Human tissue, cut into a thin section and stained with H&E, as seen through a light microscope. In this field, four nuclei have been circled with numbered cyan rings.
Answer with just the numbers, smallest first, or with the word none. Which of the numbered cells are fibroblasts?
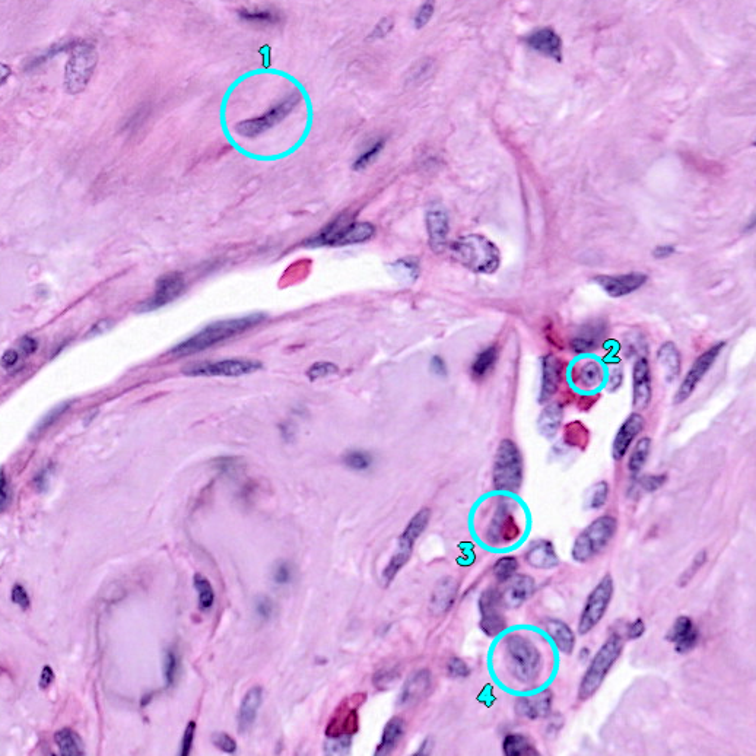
1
